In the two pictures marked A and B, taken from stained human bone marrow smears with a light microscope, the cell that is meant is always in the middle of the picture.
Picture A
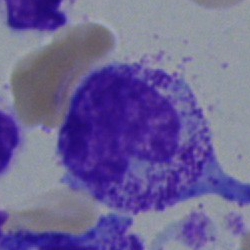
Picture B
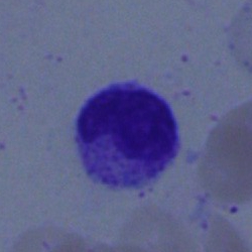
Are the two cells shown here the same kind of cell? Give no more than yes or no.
yes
